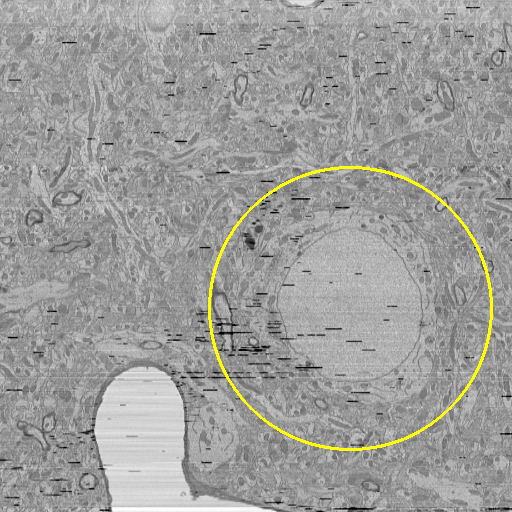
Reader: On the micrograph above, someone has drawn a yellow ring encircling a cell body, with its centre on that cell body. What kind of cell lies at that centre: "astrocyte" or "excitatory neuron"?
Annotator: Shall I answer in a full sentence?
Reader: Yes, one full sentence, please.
Here an excitatory neuron sits at the centre of the yellow ring drawn on the micrograph.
